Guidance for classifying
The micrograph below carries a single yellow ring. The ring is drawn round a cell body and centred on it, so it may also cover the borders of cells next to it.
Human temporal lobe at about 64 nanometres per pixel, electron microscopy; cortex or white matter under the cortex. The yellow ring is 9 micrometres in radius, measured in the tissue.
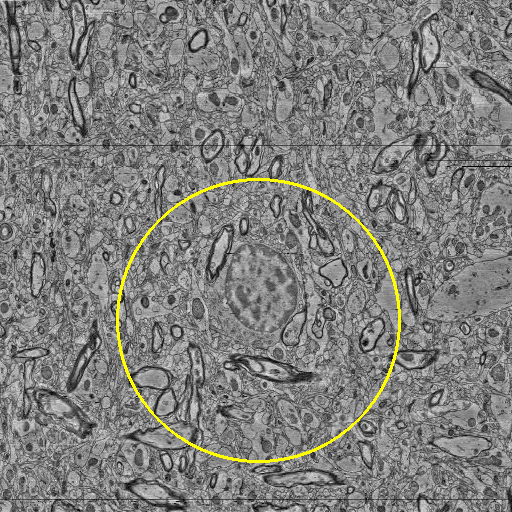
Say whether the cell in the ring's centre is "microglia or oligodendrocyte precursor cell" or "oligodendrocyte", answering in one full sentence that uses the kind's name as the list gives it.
Within the yellow ring, an oligodendrocyte is the cell whose body sits at the centre.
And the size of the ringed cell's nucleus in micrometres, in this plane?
The ringed cell's nucleus is about 6 micrometres long and 5 micrometres wide in this plane.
